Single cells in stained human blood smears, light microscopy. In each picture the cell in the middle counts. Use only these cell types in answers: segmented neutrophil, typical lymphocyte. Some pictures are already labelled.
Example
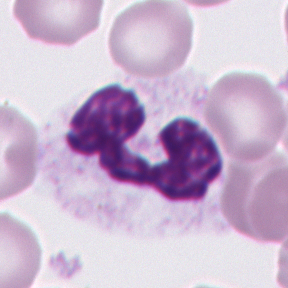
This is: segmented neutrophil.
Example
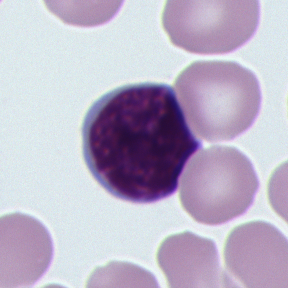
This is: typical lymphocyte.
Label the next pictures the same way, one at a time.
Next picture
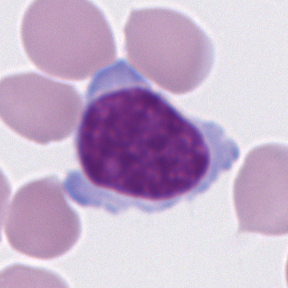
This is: typical lymphocyte.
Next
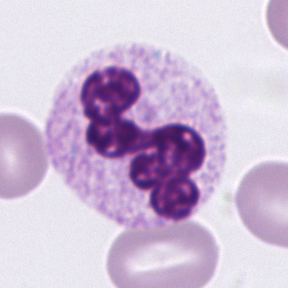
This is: segmented neutrophil.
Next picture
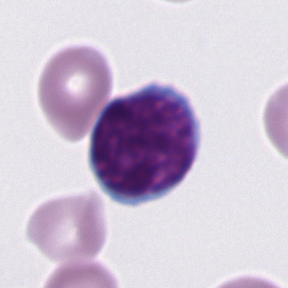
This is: typical lymphocyte.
